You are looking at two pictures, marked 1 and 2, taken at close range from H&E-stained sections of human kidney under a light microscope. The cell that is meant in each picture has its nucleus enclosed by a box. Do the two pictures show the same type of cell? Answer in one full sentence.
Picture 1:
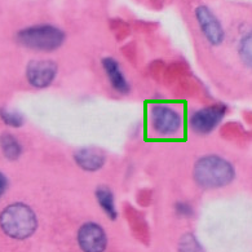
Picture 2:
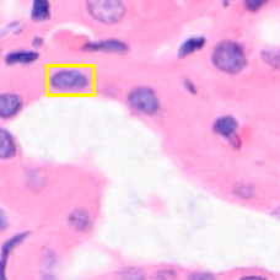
Yes, the two pictures both show “loop of Henle or distal tubule cells”.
